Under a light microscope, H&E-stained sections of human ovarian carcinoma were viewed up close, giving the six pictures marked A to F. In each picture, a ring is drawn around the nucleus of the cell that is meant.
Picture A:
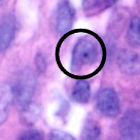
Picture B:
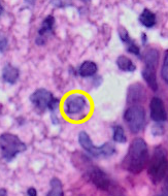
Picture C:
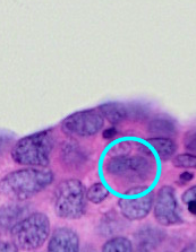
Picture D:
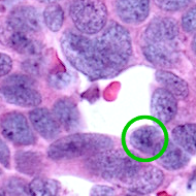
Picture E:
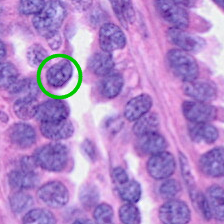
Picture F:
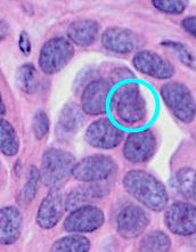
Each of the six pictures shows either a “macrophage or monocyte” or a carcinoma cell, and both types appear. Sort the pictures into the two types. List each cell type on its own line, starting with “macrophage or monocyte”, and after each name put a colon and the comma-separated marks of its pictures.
macrophage or monocyte: A, B
carcinoma cell: C, D, E, F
